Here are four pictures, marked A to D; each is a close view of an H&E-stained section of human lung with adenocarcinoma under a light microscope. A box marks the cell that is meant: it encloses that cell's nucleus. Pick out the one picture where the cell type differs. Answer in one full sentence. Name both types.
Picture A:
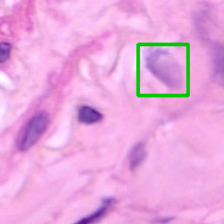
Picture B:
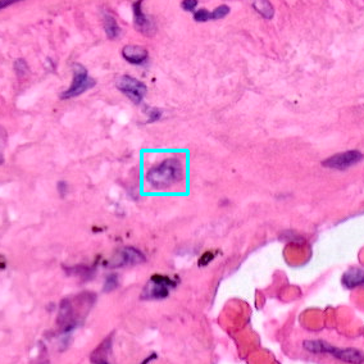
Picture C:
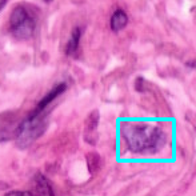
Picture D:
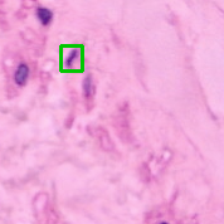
The different one is picture D; it shows a “smooth muscle cell or pericyte”, whereas all the others show fibroblasts.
